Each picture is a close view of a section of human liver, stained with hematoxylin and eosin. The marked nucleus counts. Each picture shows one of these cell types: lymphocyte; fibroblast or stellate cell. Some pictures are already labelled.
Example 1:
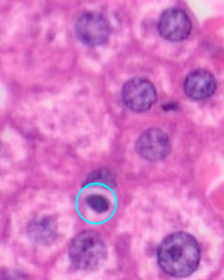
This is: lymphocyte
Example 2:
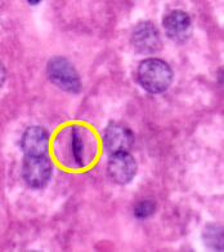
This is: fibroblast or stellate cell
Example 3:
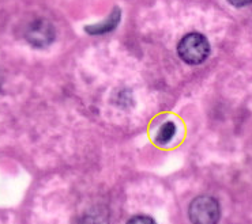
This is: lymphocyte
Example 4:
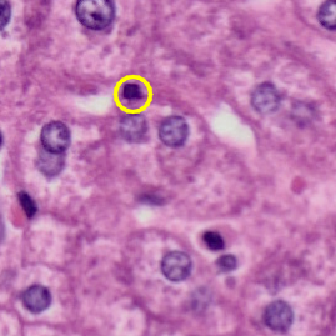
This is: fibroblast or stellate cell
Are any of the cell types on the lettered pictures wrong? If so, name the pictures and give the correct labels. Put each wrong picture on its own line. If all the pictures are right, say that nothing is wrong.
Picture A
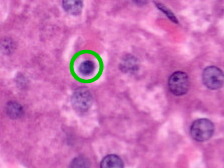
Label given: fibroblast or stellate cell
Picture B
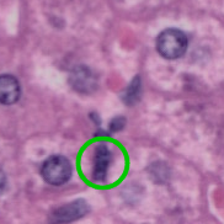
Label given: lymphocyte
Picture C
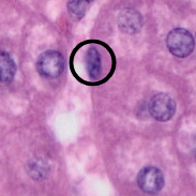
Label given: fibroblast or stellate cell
A: change fibroblast or stellate cell to lymphocyte
B: change lymphocyte to fibroblast or stellate cell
